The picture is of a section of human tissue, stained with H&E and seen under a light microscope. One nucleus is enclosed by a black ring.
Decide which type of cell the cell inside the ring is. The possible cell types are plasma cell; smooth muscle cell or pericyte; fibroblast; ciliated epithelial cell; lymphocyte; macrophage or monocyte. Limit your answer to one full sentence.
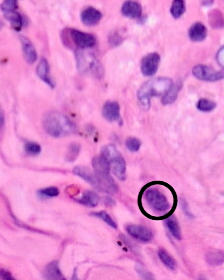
Labelled by cell type, the cell inside the ring is a plasma cell.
